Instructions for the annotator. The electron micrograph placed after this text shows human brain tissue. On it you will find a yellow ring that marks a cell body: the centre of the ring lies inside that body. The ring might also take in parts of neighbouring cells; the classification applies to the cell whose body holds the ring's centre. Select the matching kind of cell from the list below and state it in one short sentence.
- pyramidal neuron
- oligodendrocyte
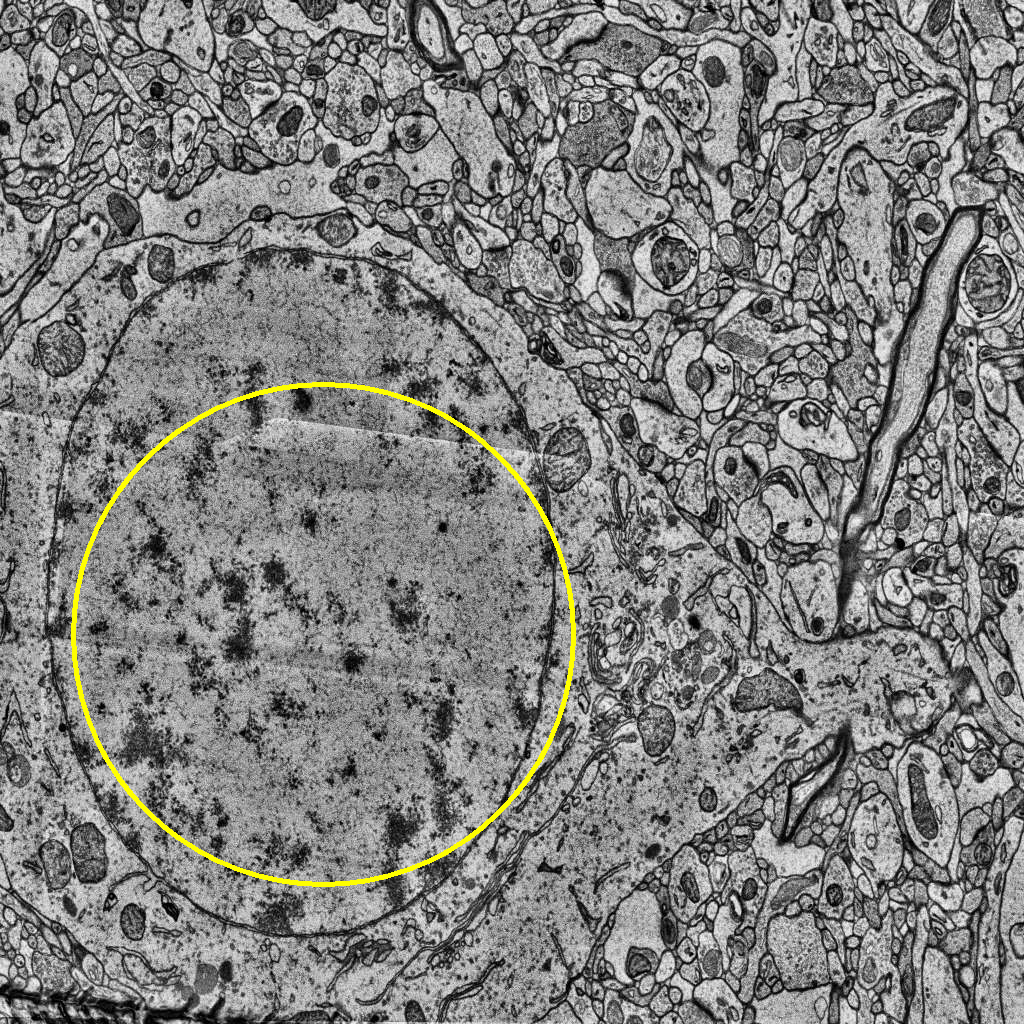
The centre of the ring lies in the cell body of a pyramidal neuron.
